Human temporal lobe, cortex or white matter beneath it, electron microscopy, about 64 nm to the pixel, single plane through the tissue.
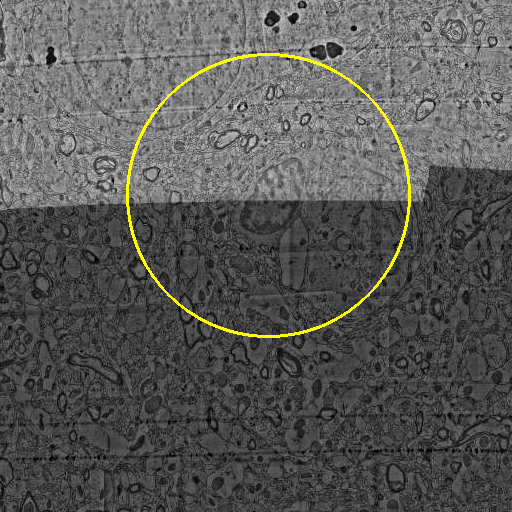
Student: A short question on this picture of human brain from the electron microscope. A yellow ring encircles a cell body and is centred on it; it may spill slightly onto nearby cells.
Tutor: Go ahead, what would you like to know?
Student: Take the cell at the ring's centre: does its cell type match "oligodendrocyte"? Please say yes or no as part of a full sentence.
Yes, in the picture, the cell at the ring's centre has that cell type.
